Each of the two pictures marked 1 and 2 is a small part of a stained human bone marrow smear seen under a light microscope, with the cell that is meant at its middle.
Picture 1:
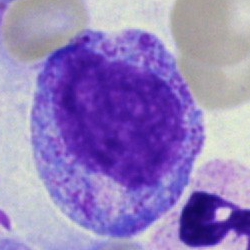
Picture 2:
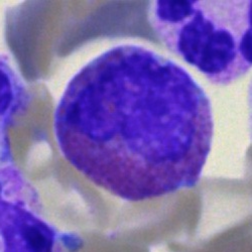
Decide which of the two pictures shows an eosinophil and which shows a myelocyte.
1: myelocyte
2: eosinophil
